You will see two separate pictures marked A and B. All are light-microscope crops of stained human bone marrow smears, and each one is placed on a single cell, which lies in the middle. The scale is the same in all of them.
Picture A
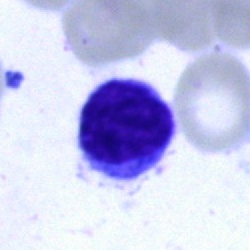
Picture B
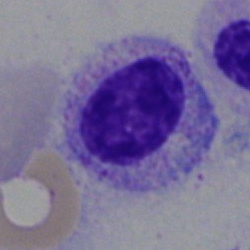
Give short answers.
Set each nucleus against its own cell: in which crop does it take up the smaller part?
B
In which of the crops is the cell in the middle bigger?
B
